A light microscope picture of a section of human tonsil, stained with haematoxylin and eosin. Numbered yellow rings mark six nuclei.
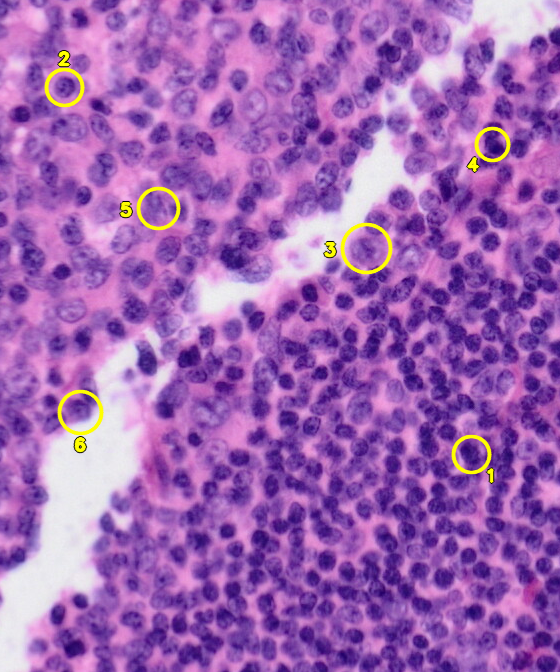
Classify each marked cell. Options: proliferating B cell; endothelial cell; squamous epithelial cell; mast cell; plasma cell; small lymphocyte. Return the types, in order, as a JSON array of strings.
["small lymphocyte", "proliferating B cell", "proliferating B cell", "small lymphocyte", "proliferating B cell", "proliferating B cell"]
